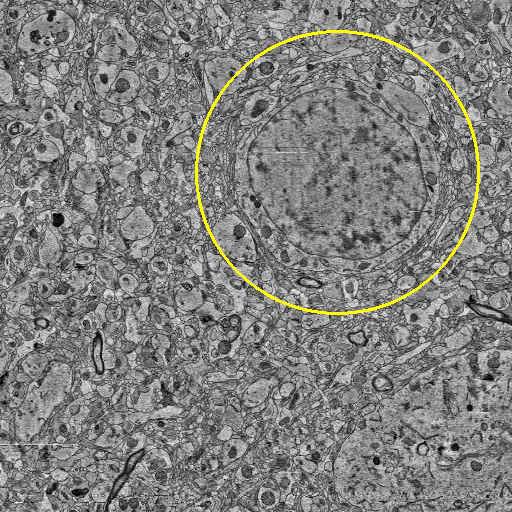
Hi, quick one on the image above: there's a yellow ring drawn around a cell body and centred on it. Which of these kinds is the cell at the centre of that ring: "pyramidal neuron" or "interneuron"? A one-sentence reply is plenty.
The cell at the centre of the ring is a pyramidal neuron.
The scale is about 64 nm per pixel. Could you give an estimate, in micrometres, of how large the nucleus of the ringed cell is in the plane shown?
Roughly 12 micrometres across for the nucleus, in this plane.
